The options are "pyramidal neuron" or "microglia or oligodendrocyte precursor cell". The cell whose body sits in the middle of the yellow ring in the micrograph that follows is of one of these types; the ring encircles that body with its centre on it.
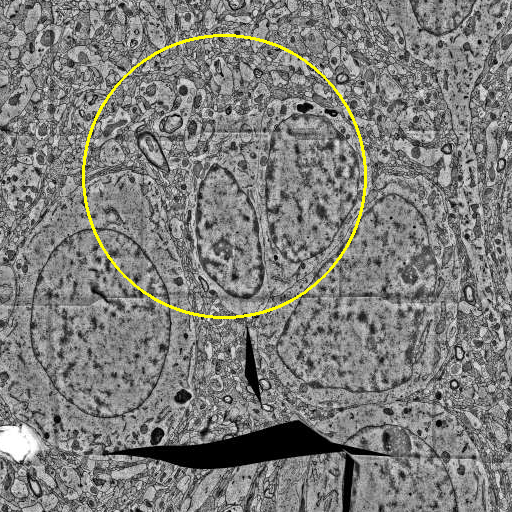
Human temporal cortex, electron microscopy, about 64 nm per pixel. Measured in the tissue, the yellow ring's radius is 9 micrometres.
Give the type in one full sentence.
Going by the micrograph, the cell centred in the yellow ring is a microglial cell or oligodendrocyte precursor cell.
